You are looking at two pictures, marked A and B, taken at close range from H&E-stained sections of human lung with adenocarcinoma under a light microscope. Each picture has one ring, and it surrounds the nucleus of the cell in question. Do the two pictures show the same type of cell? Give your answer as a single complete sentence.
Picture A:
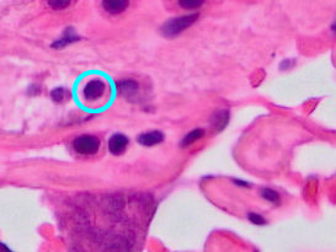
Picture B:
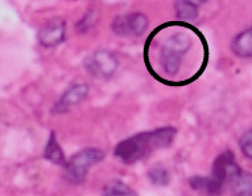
No. Picture A shows a lymphocyte, but picture B shows a “macrophage or monocyte”.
